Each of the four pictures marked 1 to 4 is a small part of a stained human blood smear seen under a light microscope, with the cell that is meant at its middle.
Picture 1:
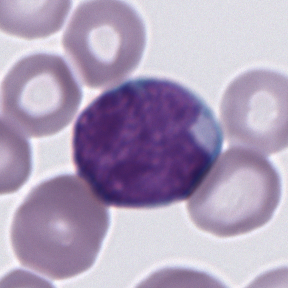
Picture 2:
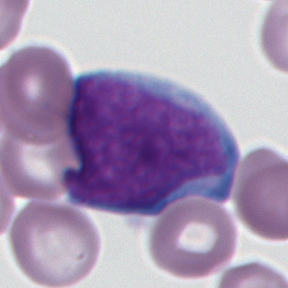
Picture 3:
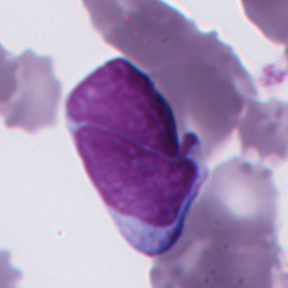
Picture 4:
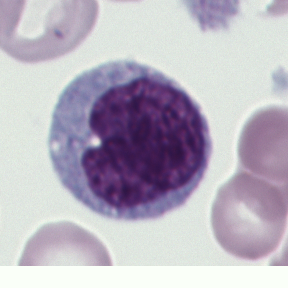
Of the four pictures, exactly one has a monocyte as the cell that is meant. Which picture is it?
4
